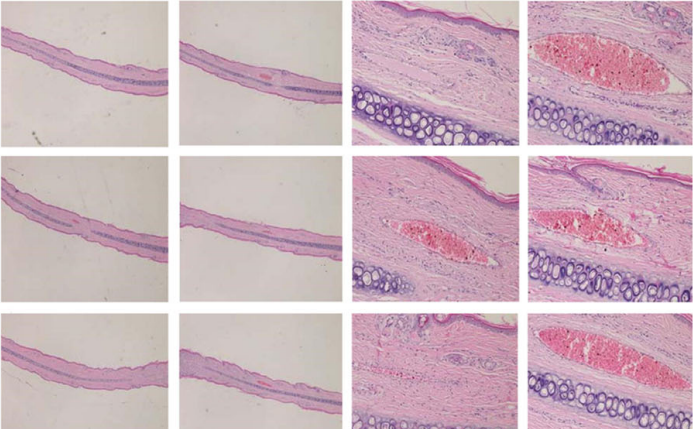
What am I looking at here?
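Cross-sections of the thin ear, with a central purple plate of cartilage sandwiched between the two skin surfaces. At higher magnification the epidermis forms a thin layer on top, and beneath it lies a pink, fibrous dermis containing a wide, thin-walled vein whose lumen is packed with red blood cells. The cartilage below is made of rounded, pale, vacuolated cells outlined by purple matrix.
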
